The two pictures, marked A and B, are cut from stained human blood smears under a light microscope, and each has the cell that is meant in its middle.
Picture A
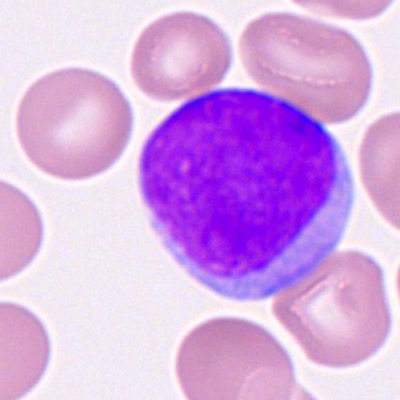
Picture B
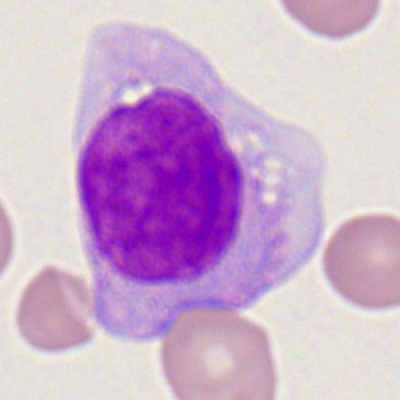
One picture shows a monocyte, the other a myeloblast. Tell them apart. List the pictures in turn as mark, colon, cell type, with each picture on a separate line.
A: myeloblast
B: monocyte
